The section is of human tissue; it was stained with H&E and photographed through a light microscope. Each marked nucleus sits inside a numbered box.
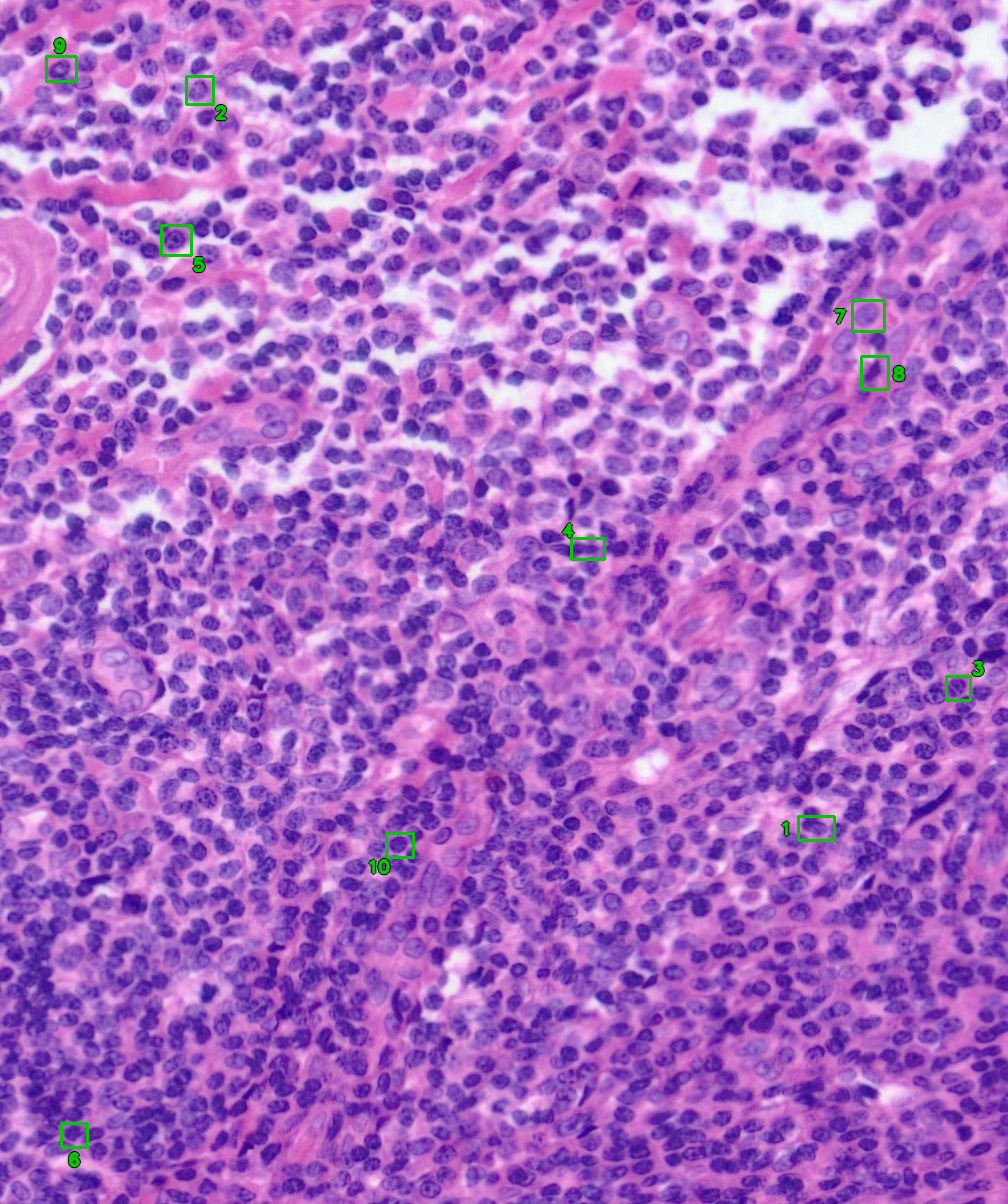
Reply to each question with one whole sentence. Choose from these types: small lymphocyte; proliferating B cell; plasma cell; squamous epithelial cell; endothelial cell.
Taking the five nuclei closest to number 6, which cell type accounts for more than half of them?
Small lymphocytes account for more than half of the five nuclei nearest to number 6.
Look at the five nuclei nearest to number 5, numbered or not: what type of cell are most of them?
Plasma cells make up most of the five nuclei closest to number 5.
